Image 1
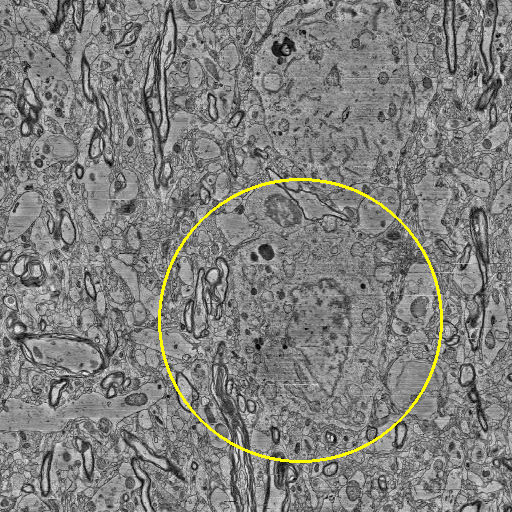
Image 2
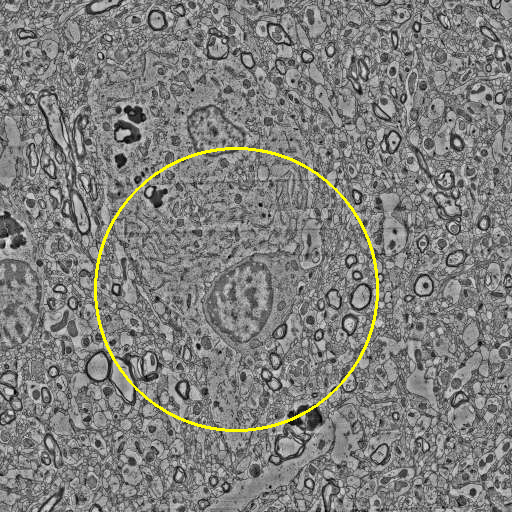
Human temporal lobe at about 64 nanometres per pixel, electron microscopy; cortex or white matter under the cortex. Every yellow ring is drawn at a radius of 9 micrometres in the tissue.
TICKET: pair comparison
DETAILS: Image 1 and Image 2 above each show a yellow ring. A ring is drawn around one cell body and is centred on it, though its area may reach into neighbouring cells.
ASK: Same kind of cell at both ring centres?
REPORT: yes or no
no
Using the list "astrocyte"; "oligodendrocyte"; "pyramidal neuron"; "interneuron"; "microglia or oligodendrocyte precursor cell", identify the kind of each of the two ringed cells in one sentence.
The first is an interneuron and the second is an oligodendrocyte.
